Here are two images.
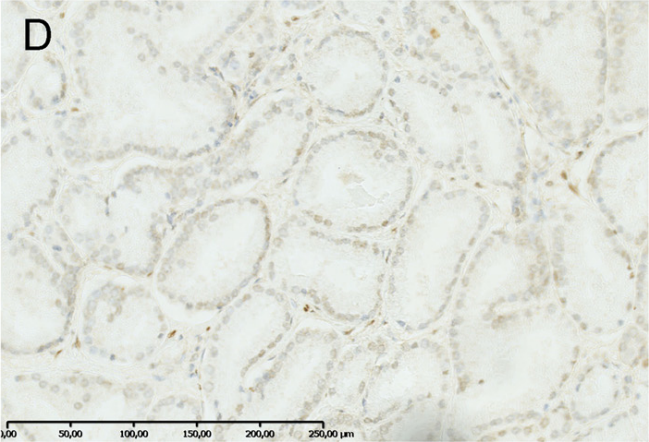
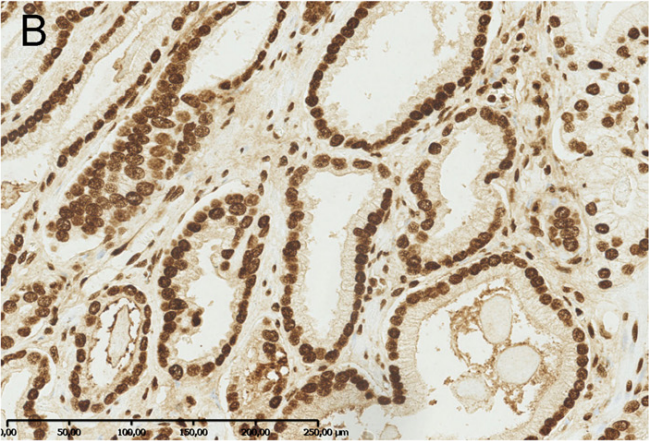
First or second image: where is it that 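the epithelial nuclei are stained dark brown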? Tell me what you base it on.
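First image: gland nuclei are pale grey-blue with hardly any brown. Second image: nearly every gland nucleus is intensely dark brown.
Hence: the second image.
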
